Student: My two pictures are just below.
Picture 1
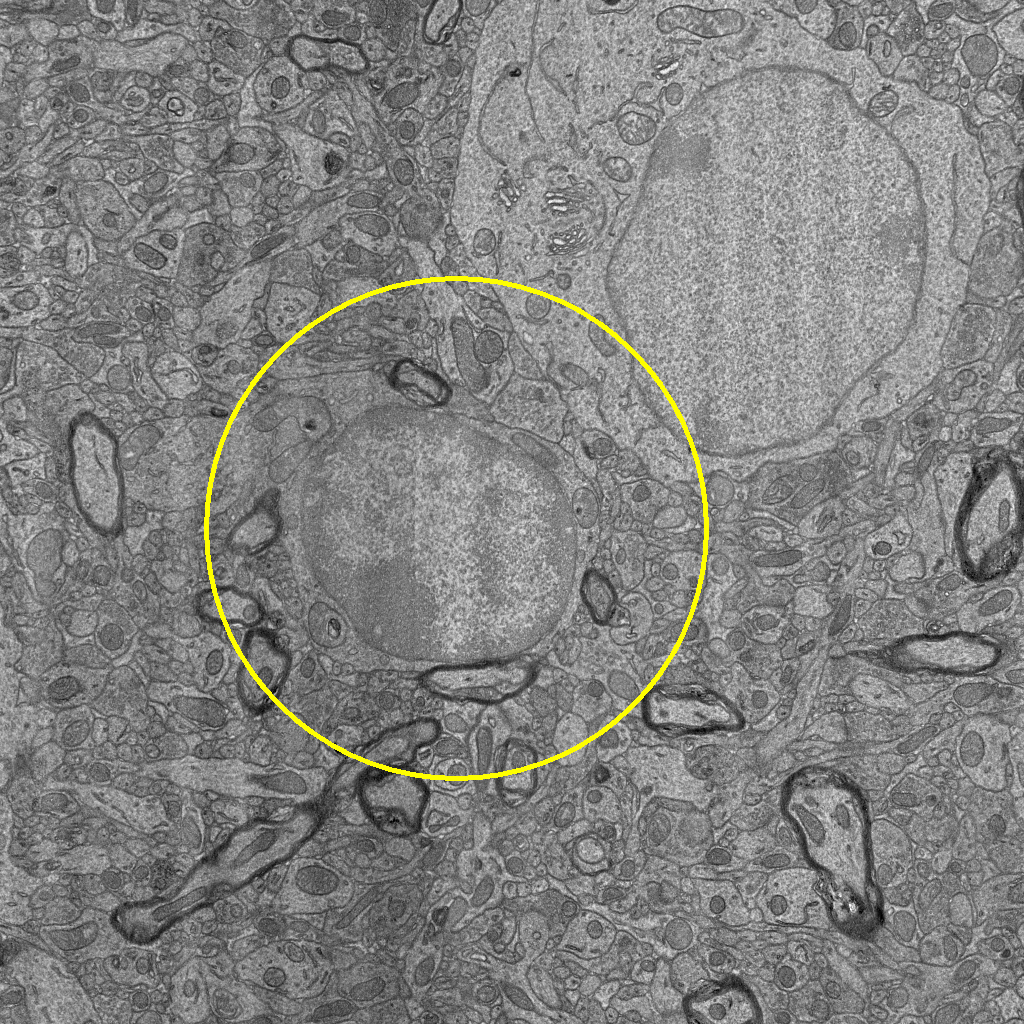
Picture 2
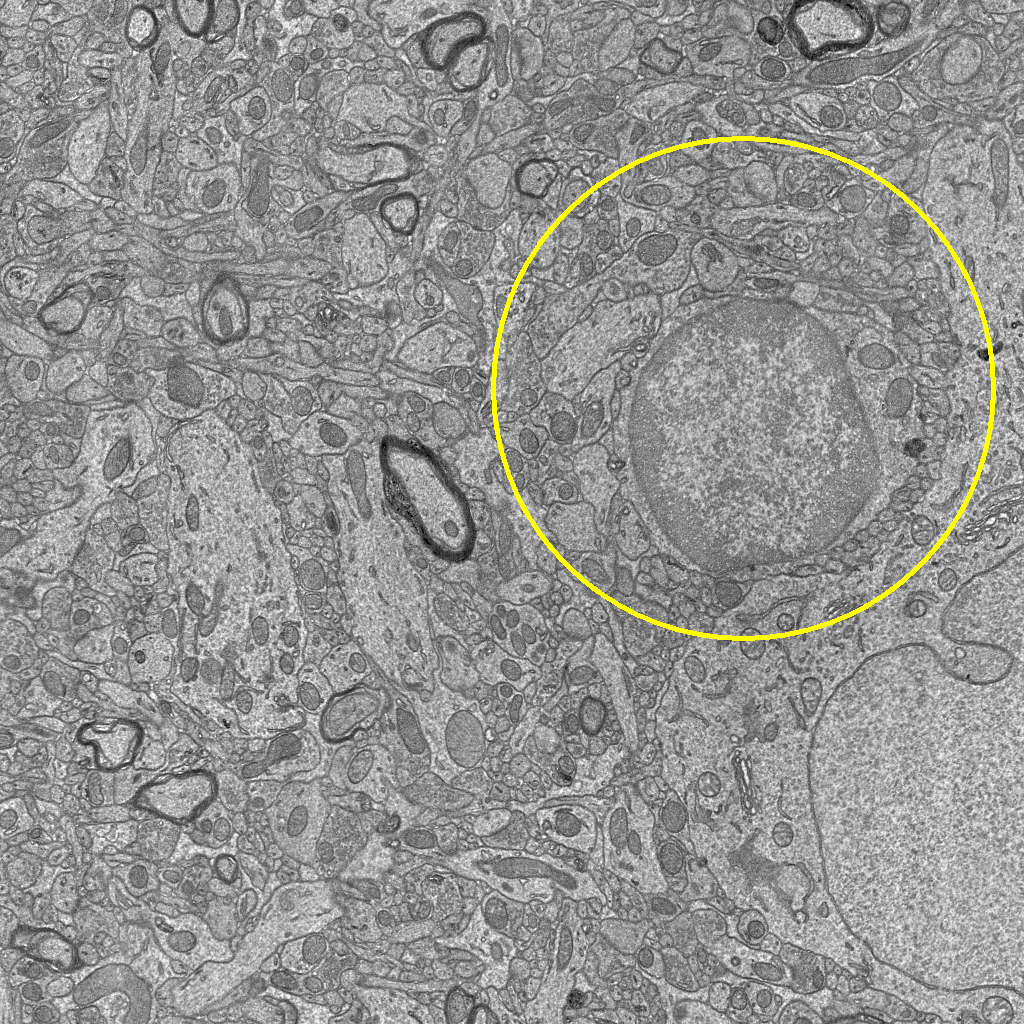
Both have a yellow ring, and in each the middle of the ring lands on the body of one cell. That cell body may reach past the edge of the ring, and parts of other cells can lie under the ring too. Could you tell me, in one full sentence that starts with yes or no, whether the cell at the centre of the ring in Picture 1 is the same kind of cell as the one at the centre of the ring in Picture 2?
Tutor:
Yes, the two cells are of the same kind.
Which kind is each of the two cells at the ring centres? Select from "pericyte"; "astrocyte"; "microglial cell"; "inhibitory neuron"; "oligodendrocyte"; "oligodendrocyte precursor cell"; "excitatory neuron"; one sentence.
The cell in the first picture is an oligodendrocyte, and so is the one in the second.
